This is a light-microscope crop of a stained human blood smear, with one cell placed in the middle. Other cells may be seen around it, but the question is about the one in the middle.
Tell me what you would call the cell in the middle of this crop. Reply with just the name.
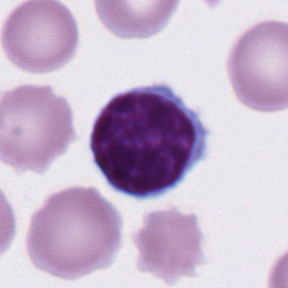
lymphocyte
